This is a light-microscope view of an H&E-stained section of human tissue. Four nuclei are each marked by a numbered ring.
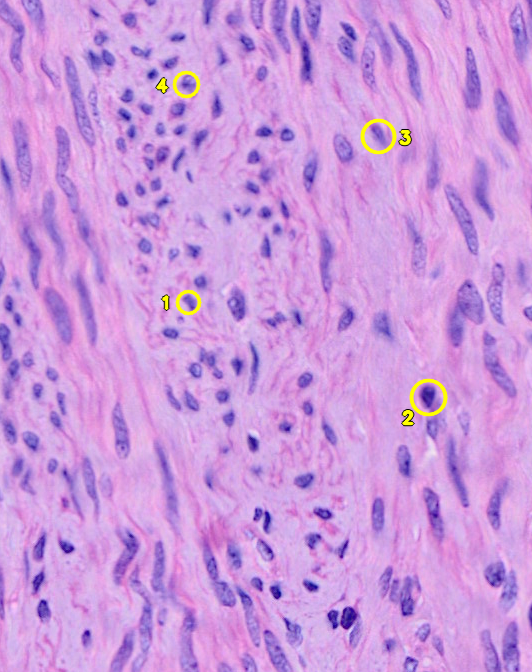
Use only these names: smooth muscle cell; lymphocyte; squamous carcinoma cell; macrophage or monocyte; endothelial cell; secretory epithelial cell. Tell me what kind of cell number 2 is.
lymphocyte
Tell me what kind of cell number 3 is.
smooth muscle cell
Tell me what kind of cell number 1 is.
smooth muscle cell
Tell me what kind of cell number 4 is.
smooth muscle cell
